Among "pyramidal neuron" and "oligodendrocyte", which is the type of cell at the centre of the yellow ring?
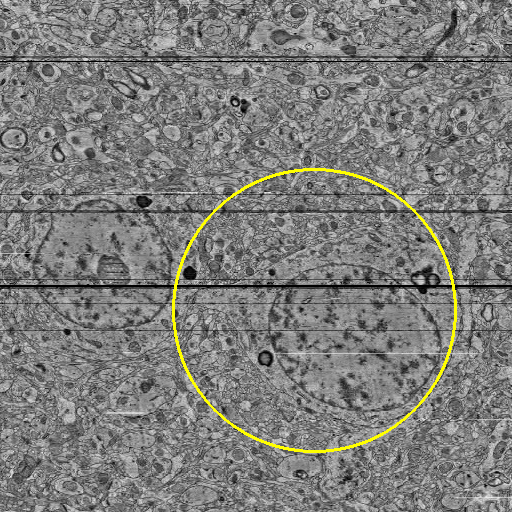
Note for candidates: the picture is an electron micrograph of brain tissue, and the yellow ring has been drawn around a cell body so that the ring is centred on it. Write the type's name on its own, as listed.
pyramidal neuron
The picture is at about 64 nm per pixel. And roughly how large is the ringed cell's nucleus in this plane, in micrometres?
In this plane, approximately 11 by 9 micrometers.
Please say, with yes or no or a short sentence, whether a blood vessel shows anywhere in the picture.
No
